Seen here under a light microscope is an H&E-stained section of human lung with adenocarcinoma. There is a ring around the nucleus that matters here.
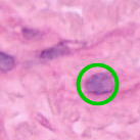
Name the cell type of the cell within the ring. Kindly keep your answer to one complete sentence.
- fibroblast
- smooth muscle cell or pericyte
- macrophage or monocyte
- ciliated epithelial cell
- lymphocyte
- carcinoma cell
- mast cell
With respect to cell type, the cell within the ring is a smooth muscle cell or pericyte.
